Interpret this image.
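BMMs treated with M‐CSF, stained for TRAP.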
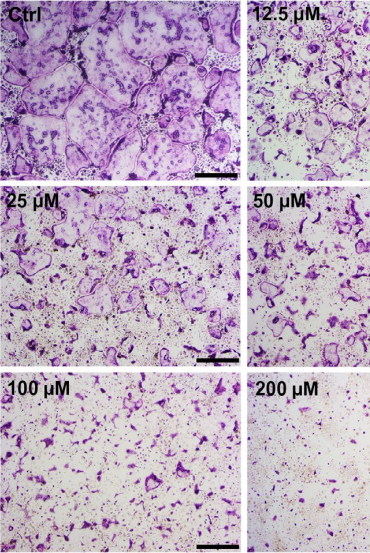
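This is a set of six culture images of cells stained purple, in which large multinucleated osteoclasts lie among small mononuclear cells. In the first image the osteoclasts are huge, flattened and spread out, their outlines abutting one another so that they almost cover the field, with many nuclei clustered inside each. In the following images the purple cells get smaller and fewer, with irregular outlines and fewer nuclei each. In the last two images mostly small, scattered purple cells and pale background remain, with hardly any large spread cells. The small mononuclear cells appear throughout as dots between the larger cells.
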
